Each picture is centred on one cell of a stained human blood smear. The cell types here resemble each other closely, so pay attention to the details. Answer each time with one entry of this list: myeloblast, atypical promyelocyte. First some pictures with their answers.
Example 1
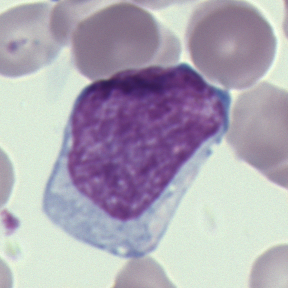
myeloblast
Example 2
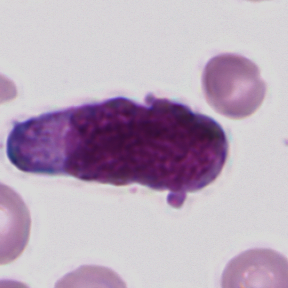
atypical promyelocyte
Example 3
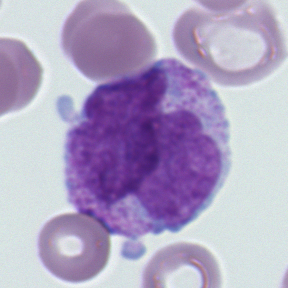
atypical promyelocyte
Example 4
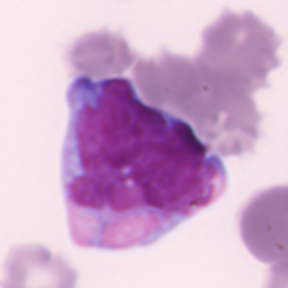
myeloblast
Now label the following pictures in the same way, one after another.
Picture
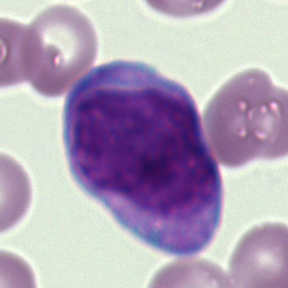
atypical promyelocyte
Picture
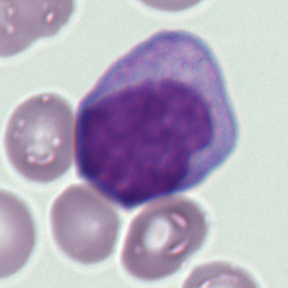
atypical promyelocyte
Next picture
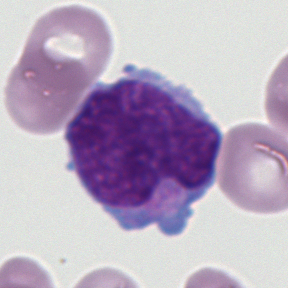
atypical promyelocyte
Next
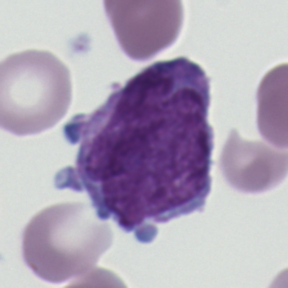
atypical promyelocyte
